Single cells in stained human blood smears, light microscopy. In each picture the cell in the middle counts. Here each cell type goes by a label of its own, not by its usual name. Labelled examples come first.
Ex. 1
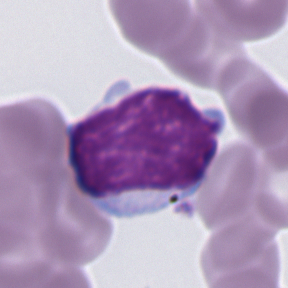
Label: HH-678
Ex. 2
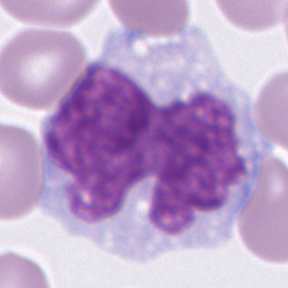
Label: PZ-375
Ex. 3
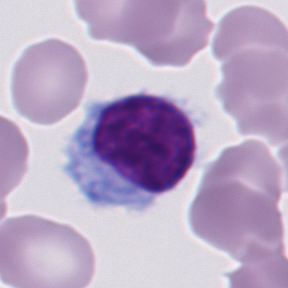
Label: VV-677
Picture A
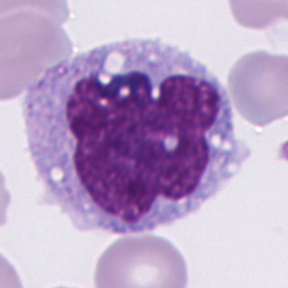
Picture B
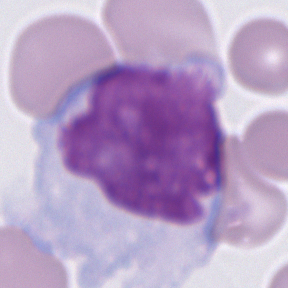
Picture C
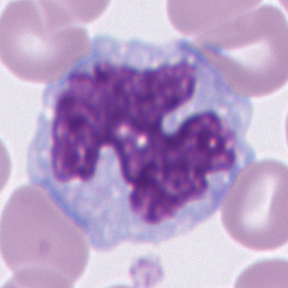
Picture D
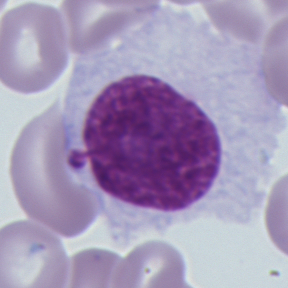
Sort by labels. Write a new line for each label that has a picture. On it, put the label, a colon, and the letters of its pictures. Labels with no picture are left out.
PZ-375: A, B, C
VV-677: D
